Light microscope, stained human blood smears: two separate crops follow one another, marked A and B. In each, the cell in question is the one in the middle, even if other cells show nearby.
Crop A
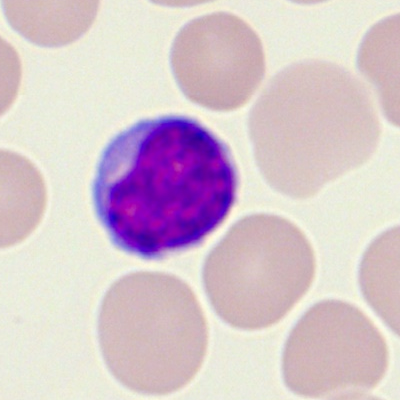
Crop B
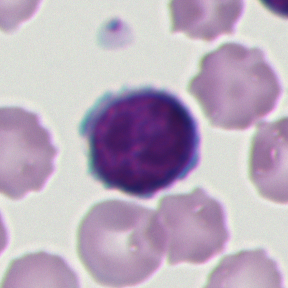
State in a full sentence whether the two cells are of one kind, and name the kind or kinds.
Yes, as shown in both crops, the central cells are lymphocytes.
